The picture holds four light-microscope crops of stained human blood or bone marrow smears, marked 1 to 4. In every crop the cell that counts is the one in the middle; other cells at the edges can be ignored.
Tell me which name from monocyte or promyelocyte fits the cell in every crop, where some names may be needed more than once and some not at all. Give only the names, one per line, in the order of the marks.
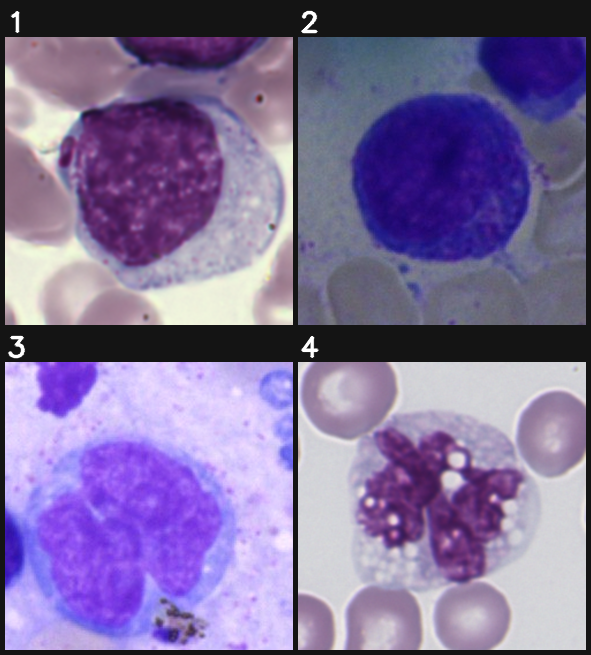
promyelocyte
promyelocyte
monocyte
monocyte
